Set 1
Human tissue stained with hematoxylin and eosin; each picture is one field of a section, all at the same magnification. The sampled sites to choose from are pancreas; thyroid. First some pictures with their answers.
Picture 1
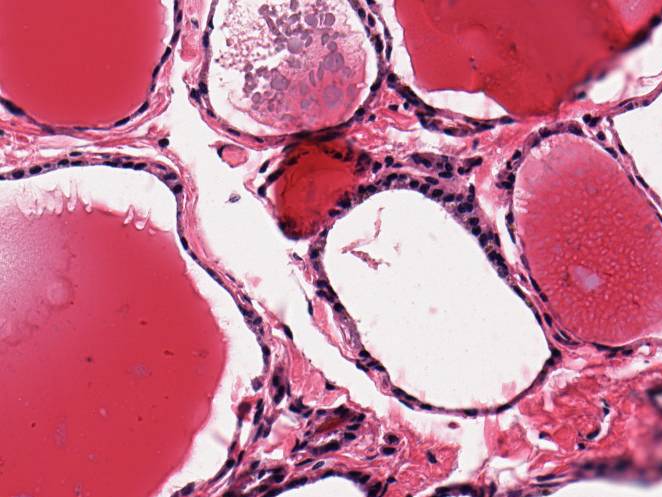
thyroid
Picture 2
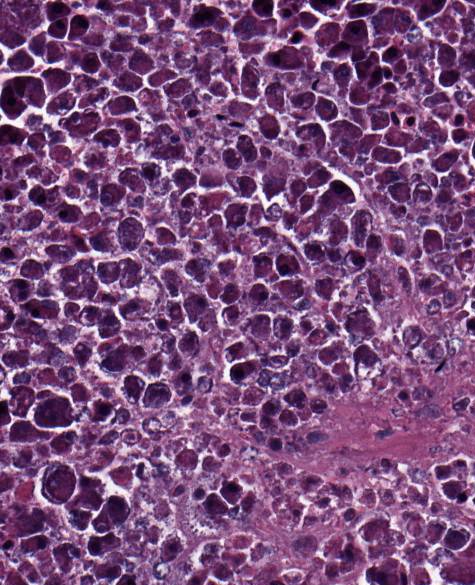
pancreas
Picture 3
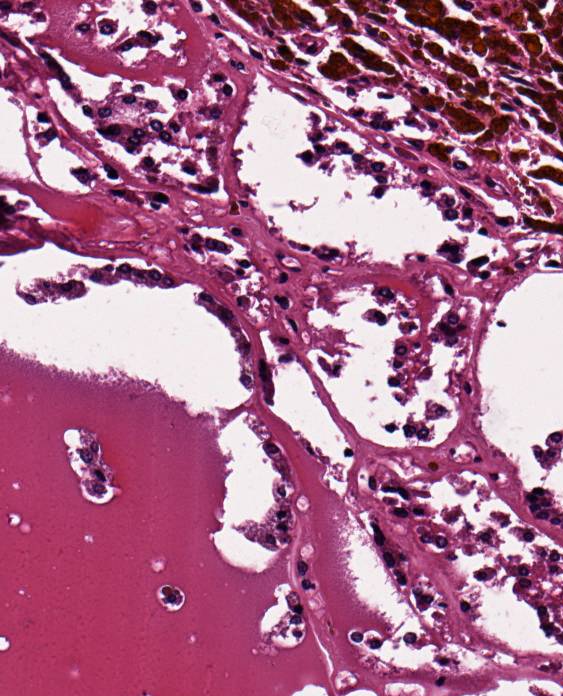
thyroid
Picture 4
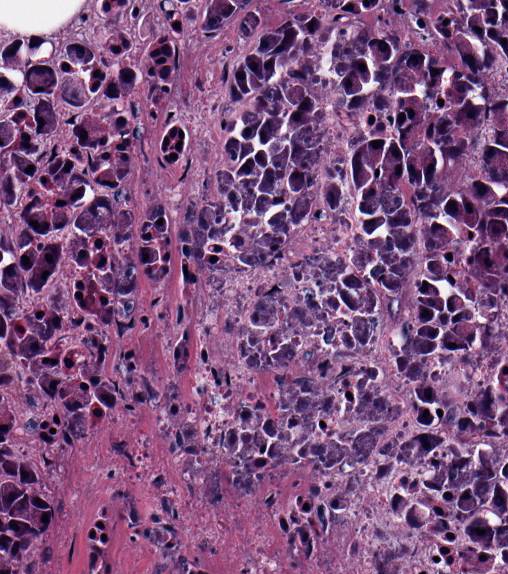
pancreas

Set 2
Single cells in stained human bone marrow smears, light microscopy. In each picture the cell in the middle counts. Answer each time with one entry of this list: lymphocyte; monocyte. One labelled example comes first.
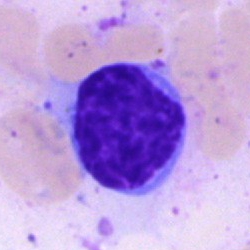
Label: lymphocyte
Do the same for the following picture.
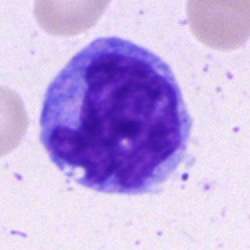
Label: monocyte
